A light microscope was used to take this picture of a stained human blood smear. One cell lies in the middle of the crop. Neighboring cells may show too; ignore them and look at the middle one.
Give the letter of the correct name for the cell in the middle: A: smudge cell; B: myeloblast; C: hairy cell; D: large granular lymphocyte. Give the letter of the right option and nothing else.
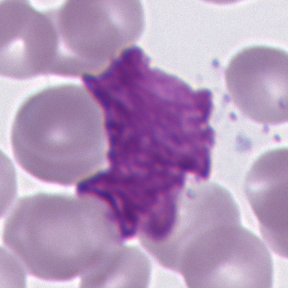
A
